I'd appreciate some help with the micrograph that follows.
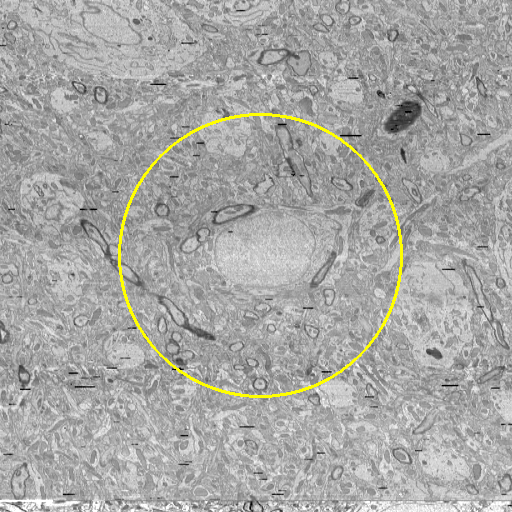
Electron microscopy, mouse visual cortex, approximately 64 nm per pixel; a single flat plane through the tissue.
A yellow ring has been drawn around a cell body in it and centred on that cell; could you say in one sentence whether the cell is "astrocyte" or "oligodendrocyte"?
It is an astrocyte at the centre of the ring.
